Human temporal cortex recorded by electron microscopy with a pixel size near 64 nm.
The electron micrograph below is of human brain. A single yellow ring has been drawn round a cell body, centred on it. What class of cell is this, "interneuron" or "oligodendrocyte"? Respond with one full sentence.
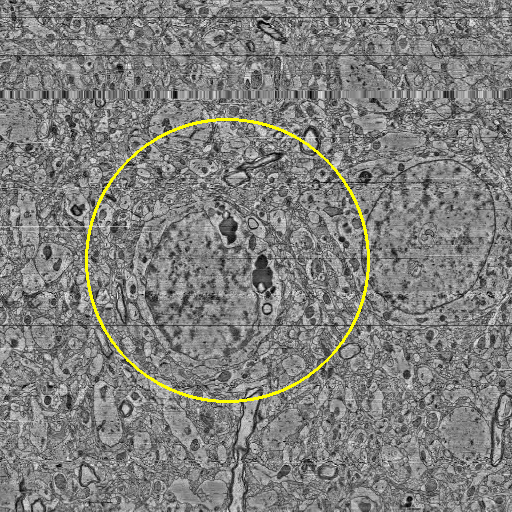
In the micrograph, the cell centred inside the yellow ring is an interneuron.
